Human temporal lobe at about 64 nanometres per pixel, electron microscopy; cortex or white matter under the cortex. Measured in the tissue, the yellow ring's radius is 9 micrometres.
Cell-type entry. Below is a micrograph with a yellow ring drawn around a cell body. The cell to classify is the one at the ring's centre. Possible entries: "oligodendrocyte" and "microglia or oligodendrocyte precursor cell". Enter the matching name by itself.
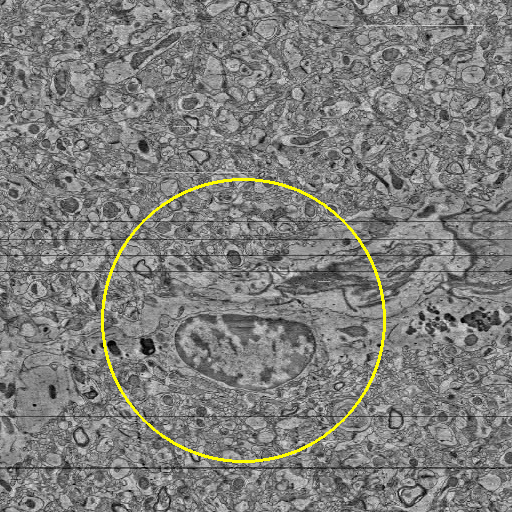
microglia or oligodendrocyte precursor cell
